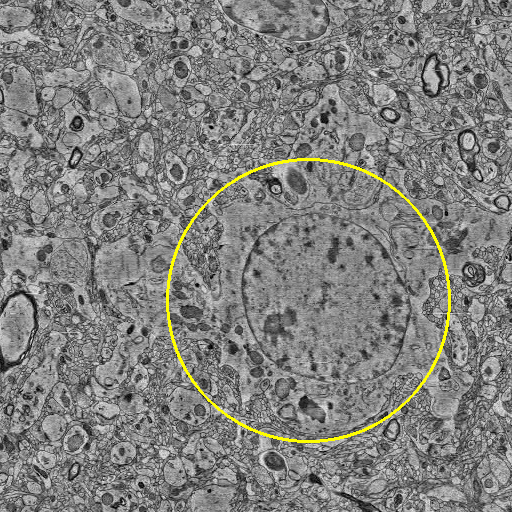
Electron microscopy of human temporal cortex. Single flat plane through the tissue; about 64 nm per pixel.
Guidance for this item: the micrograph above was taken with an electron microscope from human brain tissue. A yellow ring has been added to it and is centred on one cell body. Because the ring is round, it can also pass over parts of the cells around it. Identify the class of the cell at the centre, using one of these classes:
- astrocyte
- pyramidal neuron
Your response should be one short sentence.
The ring surrounds the body of an astrocyte.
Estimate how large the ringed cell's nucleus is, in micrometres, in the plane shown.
In this plane, the nucleus is roughly 12 by 10 micrometres.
